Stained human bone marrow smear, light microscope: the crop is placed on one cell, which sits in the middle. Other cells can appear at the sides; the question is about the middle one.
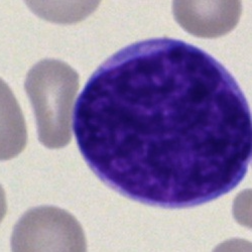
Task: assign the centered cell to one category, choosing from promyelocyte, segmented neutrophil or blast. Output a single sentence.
In the central position of this crop, the cell is a blast.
